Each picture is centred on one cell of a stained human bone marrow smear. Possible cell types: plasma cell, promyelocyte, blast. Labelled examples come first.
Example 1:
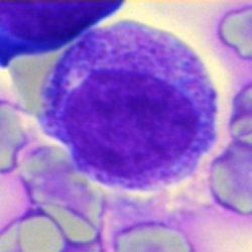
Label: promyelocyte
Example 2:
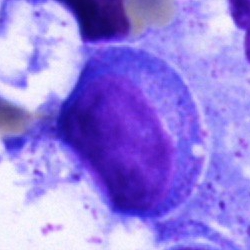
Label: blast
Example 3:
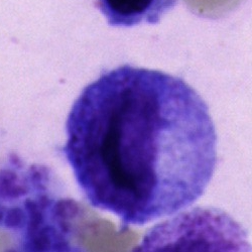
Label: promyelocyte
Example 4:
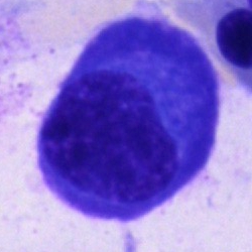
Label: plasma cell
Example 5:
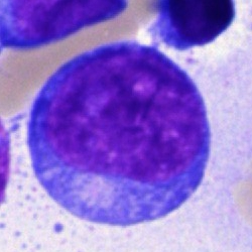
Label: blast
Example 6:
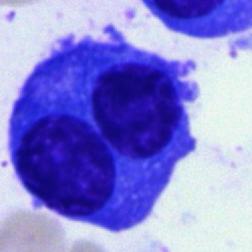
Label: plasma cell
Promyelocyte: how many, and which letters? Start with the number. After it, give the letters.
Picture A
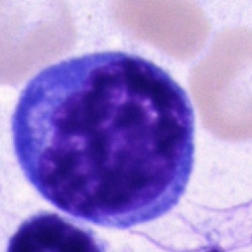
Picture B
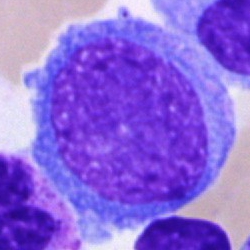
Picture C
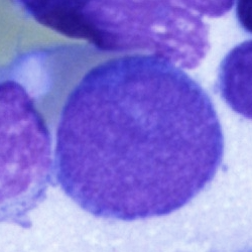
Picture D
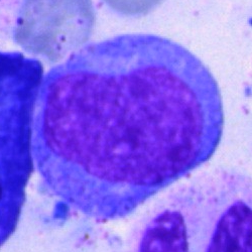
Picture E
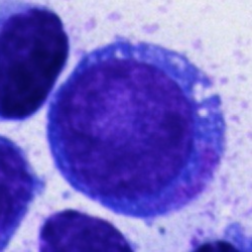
0, none of them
